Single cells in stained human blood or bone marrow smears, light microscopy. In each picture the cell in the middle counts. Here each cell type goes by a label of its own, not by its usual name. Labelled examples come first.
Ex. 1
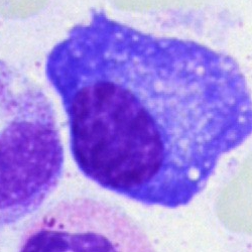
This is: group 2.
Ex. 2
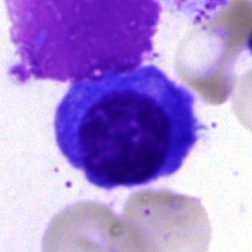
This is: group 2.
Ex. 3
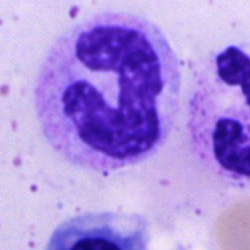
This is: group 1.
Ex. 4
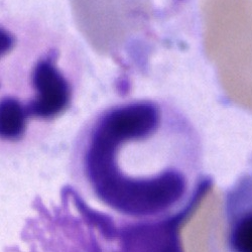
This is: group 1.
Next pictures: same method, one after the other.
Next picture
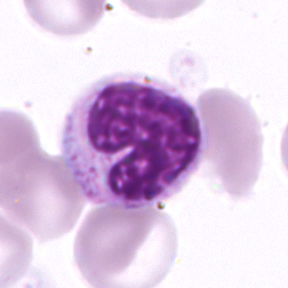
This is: group 1.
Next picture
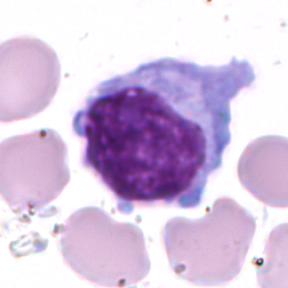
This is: group 2.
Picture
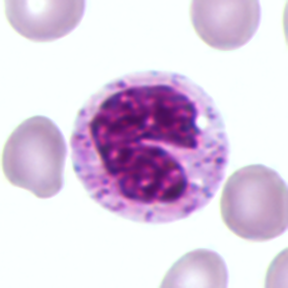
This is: group 1.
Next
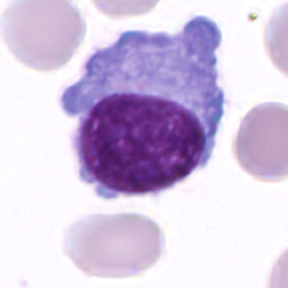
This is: group 2.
